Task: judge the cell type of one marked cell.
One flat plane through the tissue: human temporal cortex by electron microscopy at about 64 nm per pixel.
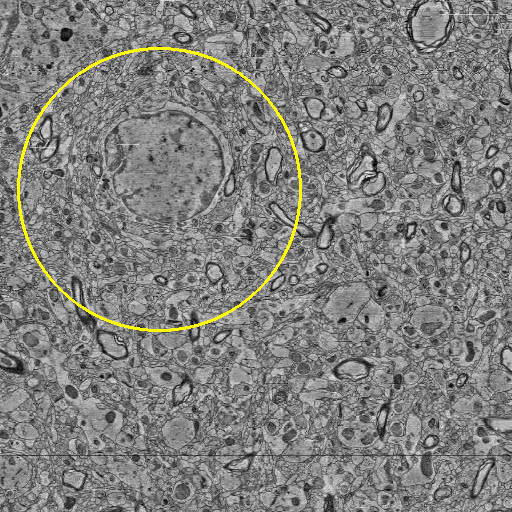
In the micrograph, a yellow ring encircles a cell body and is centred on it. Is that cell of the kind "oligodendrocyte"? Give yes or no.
no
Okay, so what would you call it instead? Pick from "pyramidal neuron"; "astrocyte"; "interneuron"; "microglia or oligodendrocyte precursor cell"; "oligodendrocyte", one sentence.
What the ring encloses here is a microglial cell or oligodendrocyte precursor cell.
